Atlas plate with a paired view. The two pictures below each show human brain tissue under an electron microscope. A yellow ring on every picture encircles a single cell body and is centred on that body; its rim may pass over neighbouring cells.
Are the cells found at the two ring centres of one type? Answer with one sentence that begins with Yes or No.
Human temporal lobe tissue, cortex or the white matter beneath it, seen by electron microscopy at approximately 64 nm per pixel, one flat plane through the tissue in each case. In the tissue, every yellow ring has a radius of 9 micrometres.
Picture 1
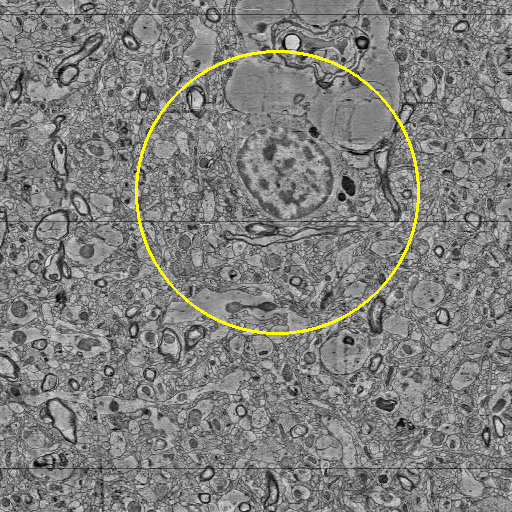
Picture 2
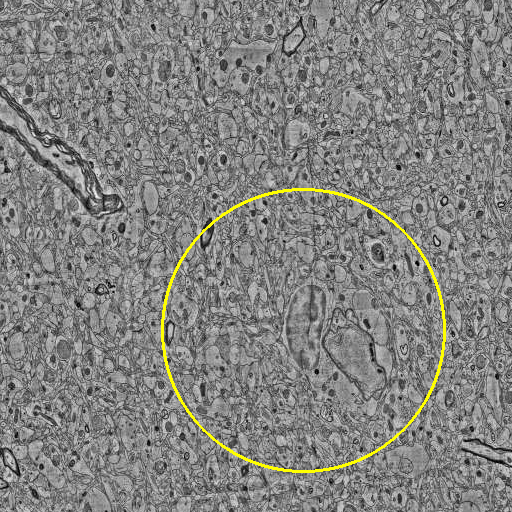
No, the two cells lying at the centres of the rings are of two types.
